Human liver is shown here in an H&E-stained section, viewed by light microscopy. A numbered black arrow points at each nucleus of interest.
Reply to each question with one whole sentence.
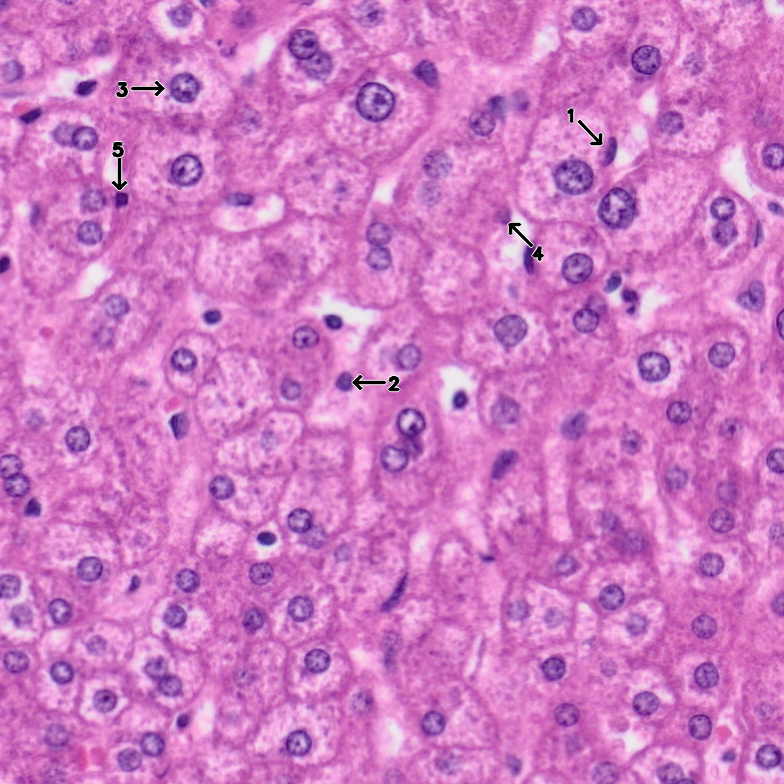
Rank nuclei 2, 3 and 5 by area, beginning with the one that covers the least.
The order from the smallest nucleus to the largest is 5, 2, 3.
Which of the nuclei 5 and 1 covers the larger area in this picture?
Nucleus 1 is the larger one, covering about 1.5 times the area of nucleus 5.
